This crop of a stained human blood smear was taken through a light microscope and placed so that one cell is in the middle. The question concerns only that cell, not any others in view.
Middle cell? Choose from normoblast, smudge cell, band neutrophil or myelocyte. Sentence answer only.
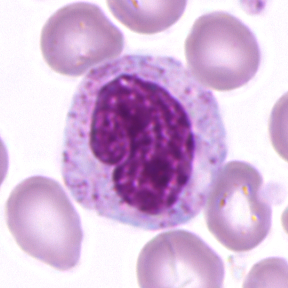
By classification, the middle cell of this crop is a band neutrophil.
